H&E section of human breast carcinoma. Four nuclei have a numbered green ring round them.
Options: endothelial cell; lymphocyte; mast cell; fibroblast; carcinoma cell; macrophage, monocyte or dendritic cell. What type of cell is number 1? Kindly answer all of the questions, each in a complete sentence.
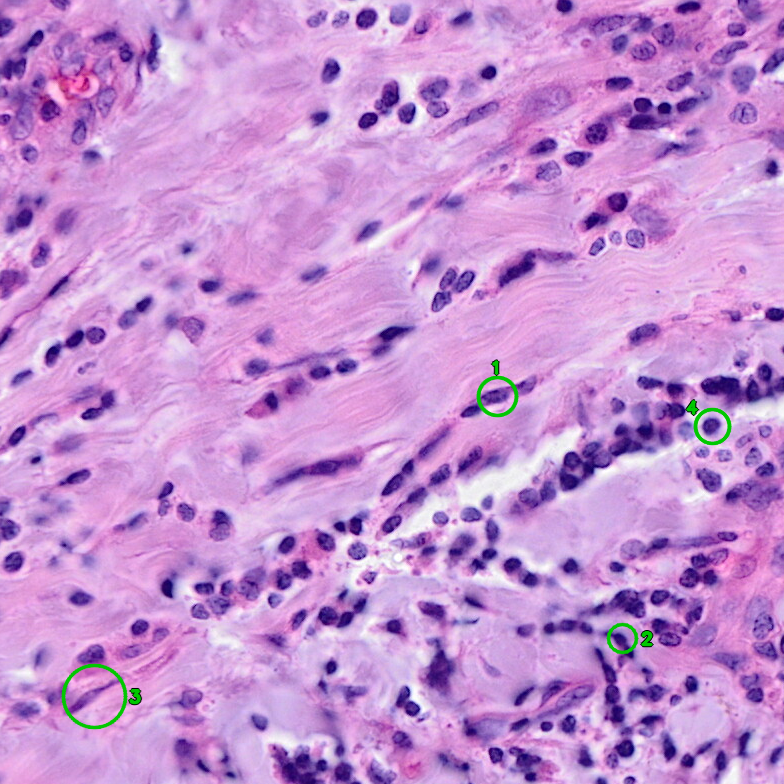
Cell 1 should be recorded as a lymphocyte.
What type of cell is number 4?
The cell that carries the label 4 is a lymphocyte.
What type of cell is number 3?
Identified by the number 3, the cell is a fibroblast.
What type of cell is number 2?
Cell 2 of the marked set is a lymphocyte.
